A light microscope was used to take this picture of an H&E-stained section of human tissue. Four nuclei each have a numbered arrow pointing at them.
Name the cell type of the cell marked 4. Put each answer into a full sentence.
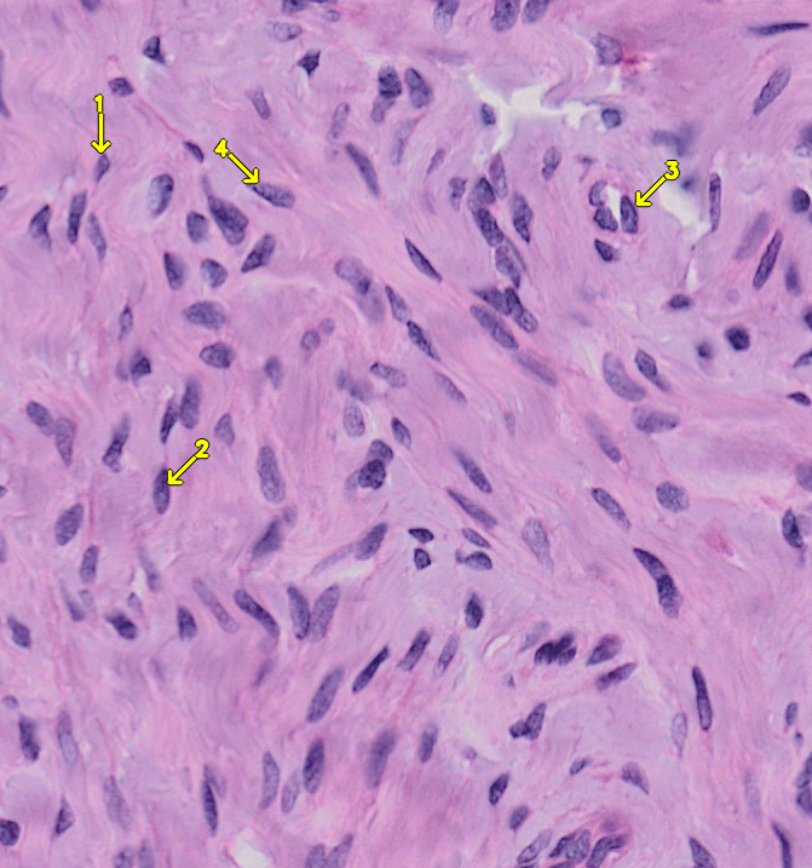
The cell carrying label 4 is identified as a fibroblast.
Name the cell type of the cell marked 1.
The cell pointed out by number 1 is a fibroblast.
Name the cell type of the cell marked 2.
Nucleus 2 in this section belongs to a fibroblast.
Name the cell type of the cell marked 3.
The cell referred to as 3 is an endothelial cell.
